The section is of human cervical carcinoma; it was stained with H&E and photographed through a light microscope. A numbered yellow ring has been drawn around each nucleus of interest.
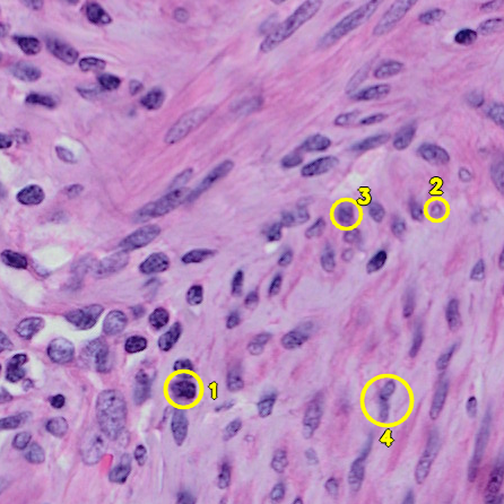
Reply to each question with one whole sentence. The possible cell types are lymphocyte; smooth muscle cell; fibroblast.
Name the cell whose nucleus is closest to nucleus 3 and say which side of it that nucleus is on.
A smooth muscle cell lies closest, below nucleus 3.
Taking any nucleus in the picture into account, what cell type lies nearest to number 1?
Number 1 lies closest to the nucleus of a lymphocyte.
